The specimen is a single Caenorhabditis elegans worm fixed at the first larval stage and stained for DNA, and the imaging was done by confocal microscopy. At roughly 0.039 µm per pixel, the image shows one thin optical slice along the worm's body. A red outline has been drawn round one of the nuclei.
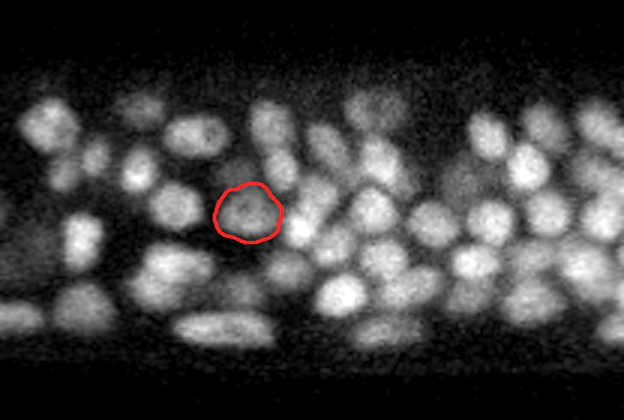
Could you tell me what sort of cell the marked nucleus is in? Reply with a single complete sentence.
It belongs to a pharyngeal muscle cell.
